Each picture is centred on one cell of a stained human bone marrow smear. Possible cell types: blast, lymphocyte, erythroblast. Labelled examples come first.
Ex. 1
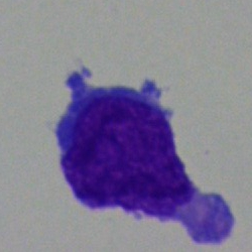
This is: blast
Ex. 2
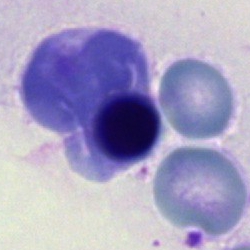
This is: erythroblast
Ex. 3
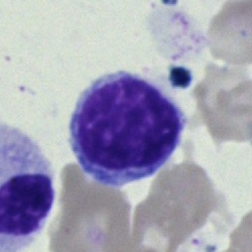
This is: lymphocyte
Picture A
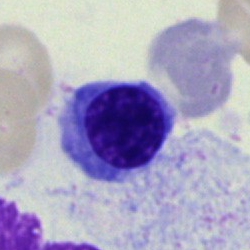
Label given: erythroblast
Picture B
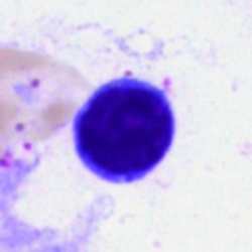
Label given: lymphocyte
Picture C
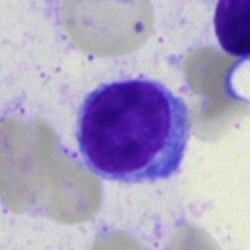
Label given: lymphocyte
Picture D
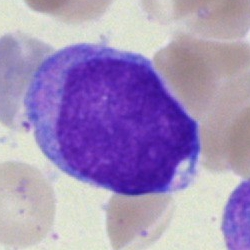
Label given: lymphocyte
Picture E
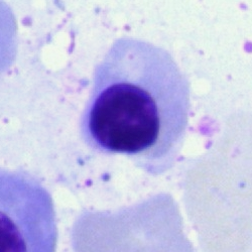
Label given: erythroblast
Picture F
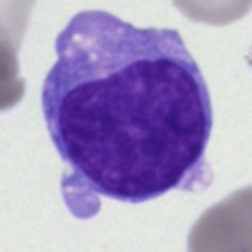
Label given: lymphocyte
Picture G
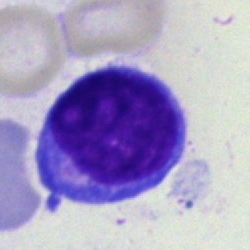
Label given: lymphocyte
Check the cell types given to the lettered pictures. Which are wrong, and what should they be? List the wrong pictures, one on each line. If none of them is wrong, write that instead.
D is labelled lymphocyte; correct label: blast
F is labelled lymphocyte; correct label: blast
